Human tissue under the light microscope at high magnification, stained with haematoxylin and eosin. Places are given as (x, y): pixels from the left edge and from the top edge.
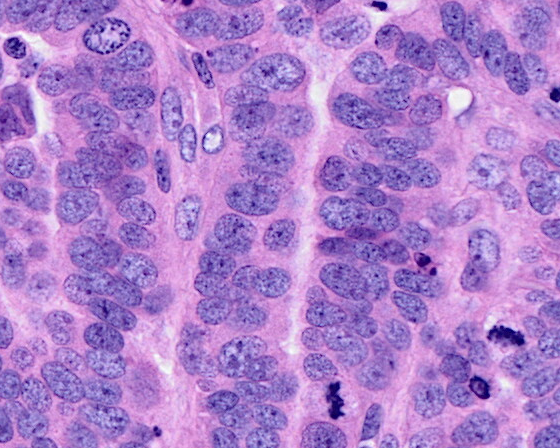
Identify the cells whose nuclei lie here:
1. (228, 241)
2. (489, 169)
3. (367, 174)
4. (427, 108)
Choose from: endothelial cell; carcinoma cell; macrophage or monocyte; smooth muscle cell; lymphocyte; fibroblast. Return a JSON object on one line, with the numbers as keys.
{"1": "carcinoma cell", "2": "fibroblast", "3": "carcinoma cell", "4": "carcinoma cell"}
